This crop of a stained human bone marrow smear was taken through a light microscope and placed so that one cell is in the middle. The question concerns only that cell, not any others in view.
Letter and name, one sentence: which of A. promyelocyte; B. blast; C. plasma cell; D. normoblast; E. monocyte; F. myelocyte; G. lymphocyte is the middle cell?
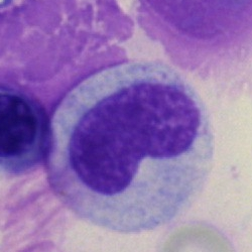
Since the middle cell is a monocyte, option E is the right one.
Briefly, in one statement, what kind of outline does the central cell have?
You can see a smooth boundary, with no projections sticking out.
